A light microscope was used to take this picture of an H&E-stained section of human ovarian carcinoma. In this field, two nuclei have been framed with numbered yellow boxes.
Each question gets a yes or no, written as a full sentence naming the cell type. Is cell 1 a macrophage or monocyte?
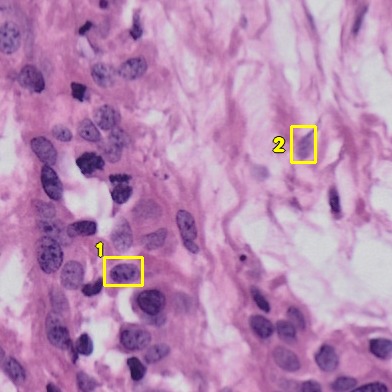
Yes, the cell shown as number 1 is a macrophage or monocyte.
